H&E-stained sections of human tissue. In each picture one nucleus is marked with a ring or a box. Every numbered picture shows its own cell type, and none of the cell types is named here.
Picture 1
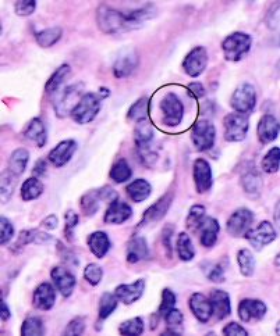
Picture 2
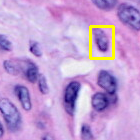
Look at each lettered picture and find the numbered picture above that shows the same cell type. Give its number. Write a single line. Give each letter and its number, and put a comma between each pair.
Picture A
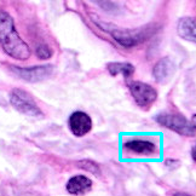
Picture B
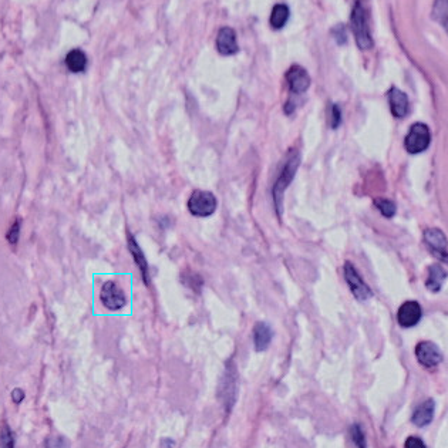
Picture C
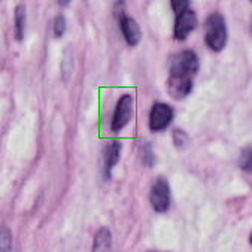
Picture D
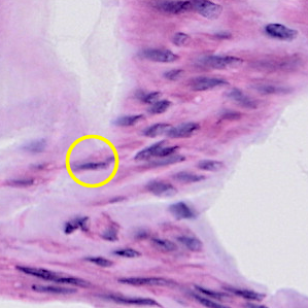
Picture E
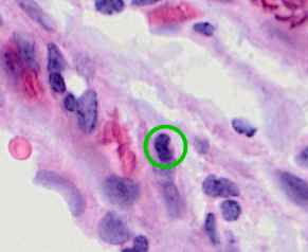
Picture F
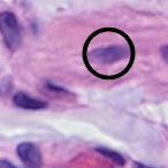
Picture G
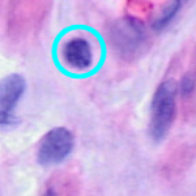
A 1, B 1, C 1, D 2, E 1, F 2, G 1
